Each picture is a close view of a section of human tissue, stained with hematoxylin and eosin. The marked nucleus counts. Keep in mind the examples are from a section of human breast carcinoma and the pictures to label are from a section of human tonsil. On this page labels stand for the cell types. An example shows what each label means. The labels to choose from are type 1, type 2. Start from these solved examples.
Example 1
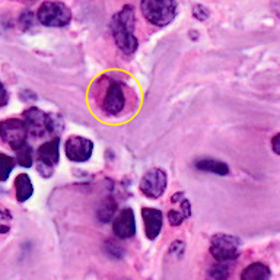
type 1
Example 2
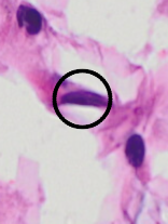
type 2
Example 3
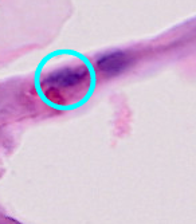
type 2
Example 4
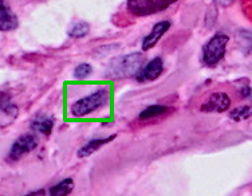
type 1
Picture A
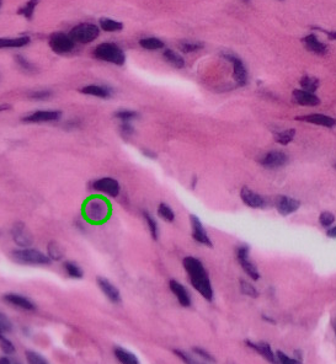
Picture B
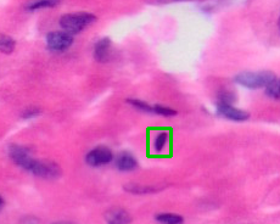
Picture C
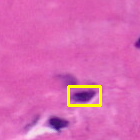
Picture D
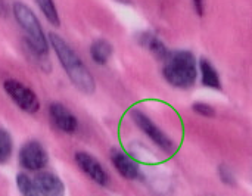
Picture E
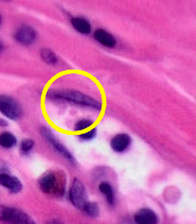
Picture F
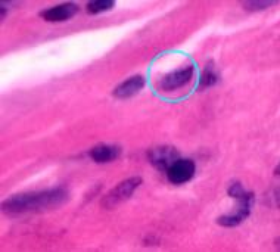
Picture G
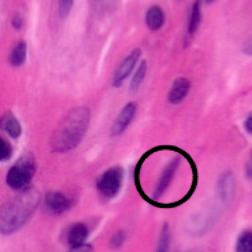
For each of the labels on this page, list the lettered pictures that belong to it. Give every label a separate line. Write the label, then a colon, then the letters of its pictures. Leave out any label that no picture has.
type 1: B, C, F
type 2: A, D, E, G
